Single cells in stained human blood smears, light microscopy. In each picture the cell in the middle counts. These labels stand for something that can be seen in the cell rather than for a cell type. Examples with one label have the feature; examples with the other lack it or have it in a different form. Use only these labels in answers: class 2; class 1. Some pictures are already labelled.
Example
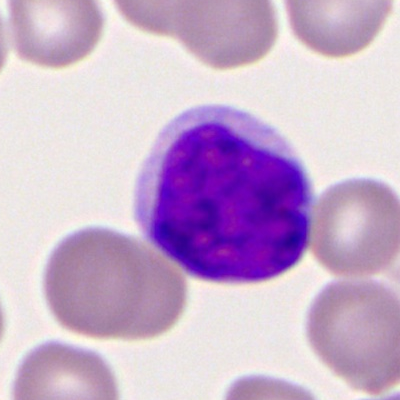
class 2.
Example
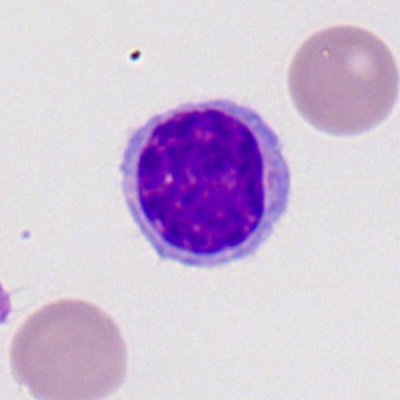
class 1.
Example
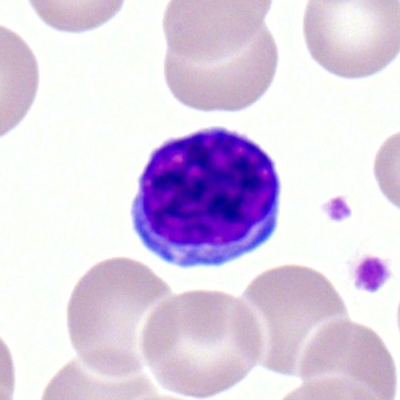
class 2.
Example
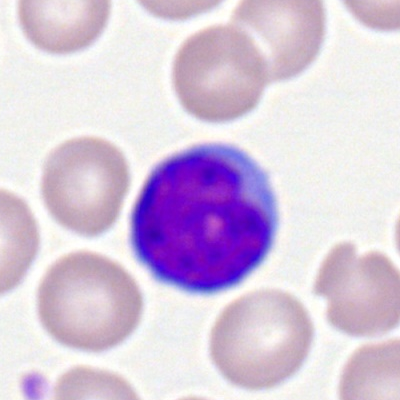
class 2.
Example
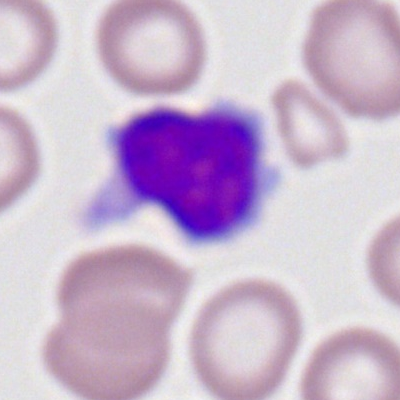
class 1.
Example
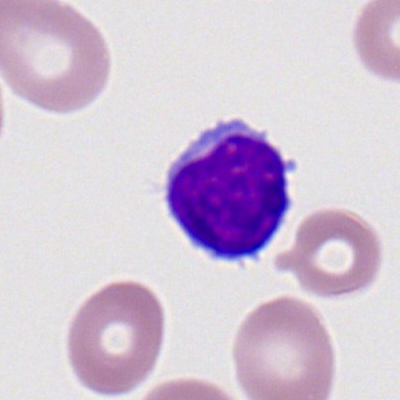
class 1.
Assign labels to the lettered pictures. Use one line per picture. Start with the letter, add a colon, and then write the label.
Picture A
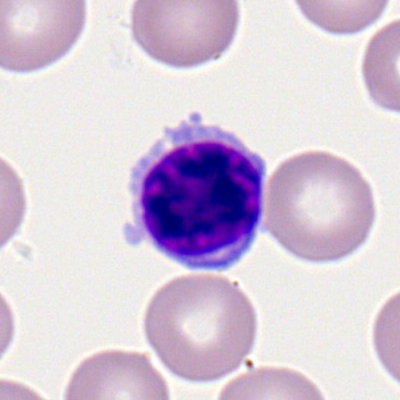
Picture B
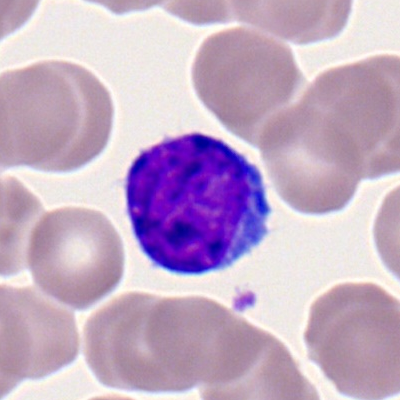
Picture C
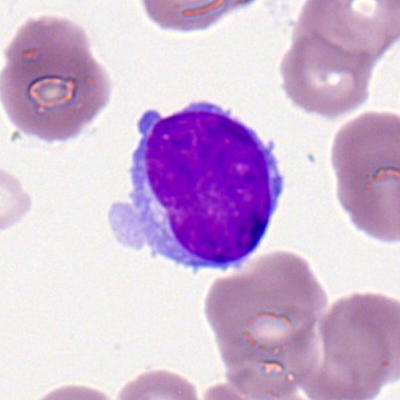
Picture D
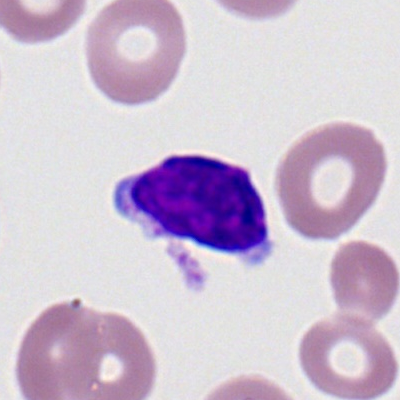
A: class 1.
B: class 1.
C: class 1.
D: class 1.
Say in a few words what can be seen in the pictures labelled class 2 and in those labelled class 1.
class 2, smooth outline; class 1, ragged outline or projections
